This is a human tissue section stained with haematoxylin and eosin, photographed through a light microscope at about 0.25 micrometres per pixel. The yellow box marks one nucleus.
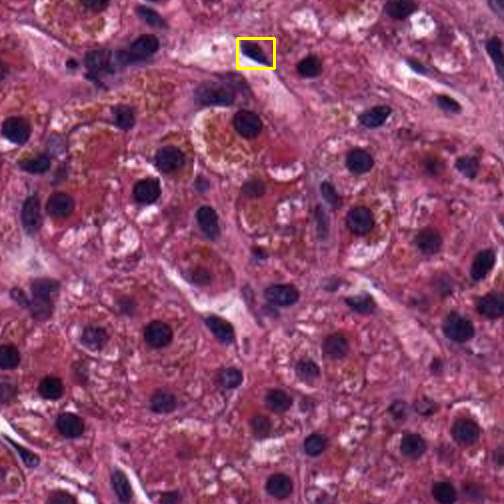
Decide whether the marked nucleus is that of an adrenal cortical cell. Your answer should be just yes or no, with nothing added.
no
